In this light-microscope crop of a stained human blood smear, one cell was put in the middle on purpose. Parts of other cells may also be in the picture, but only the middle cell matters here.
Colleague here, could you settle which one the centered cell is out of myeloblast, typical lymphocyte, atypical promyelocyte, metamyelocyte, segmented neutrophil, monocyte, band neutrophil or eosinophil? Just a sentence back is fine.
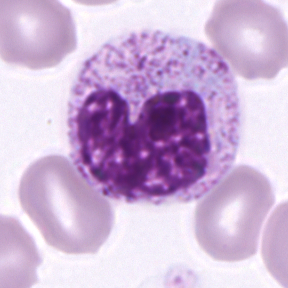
Regarding the central cell, it is a metamyelocyte.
